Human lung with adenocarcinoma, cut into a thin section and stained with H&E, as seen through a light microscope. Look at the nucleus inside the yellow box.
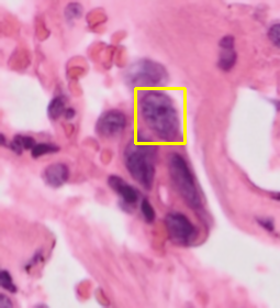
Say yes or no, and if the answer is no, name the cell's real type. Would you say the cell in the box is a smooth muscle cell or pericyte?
No, it is a carcinoma cell.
